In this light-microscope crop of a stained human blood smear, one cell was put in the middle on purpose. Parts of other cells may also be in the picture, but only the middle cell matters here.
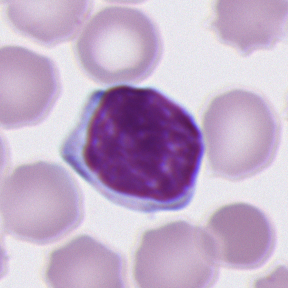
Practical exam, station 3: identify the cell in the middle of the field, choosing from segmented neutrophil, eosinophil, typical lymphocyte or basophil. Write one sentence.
The cell at the middle of the crop is recognized as a typical lymphocyte.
